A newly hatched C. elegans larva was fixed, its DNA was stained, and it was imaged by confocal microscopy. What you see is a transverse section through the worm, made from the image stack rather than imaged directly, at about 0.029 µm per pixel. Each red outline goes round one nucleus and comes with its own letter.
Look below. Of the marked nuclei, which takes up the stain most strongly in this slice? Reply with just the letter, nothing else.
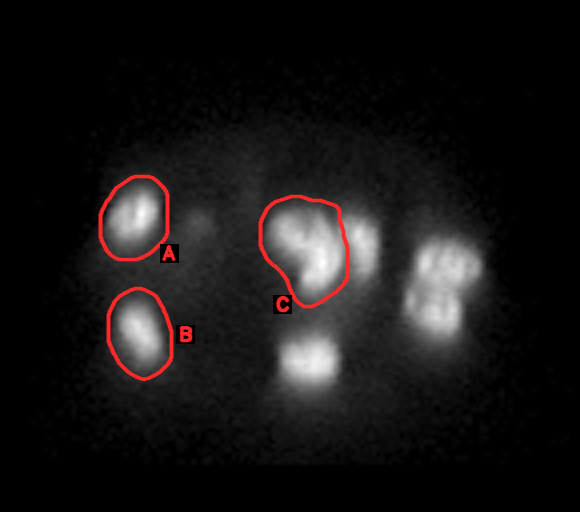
C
